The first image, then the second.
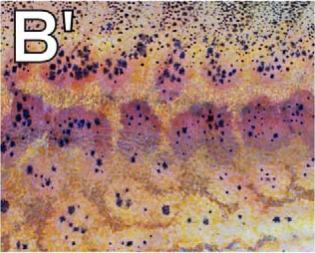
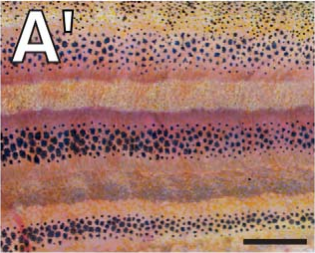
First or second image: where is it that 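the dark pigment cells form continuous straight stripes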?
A: The second image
